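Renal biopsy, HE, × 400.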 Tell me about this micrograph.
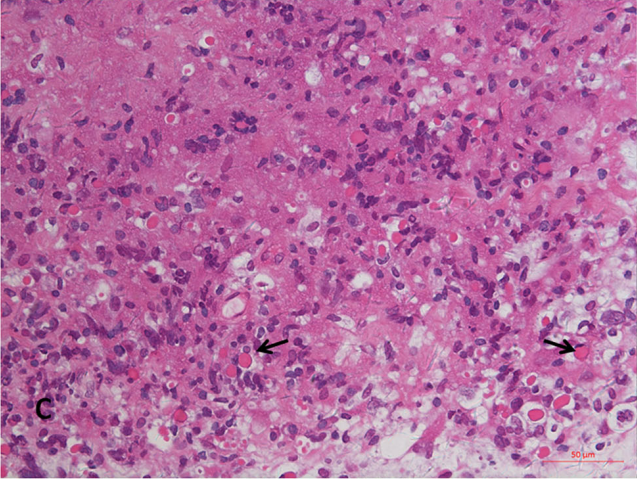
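This is kidney interstitium crowded with inflammatory cells, many of them plasma cells with small round, dark, off-centre nuclei and pink cytoplasm. Scattered among them are round, glassy, bright pink globules, the Russell bodies, some lying in clear spaces.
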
